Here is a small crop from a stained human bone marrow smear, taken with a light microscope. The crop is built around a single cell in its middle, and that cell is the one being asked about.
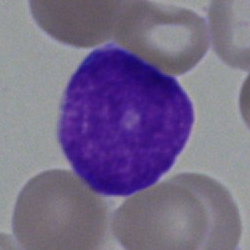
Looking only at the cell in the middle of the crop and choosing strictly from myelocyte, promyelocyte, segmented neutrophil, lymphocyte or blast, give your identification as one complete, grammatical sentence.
The target cell in the middle of the crop is a blast.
